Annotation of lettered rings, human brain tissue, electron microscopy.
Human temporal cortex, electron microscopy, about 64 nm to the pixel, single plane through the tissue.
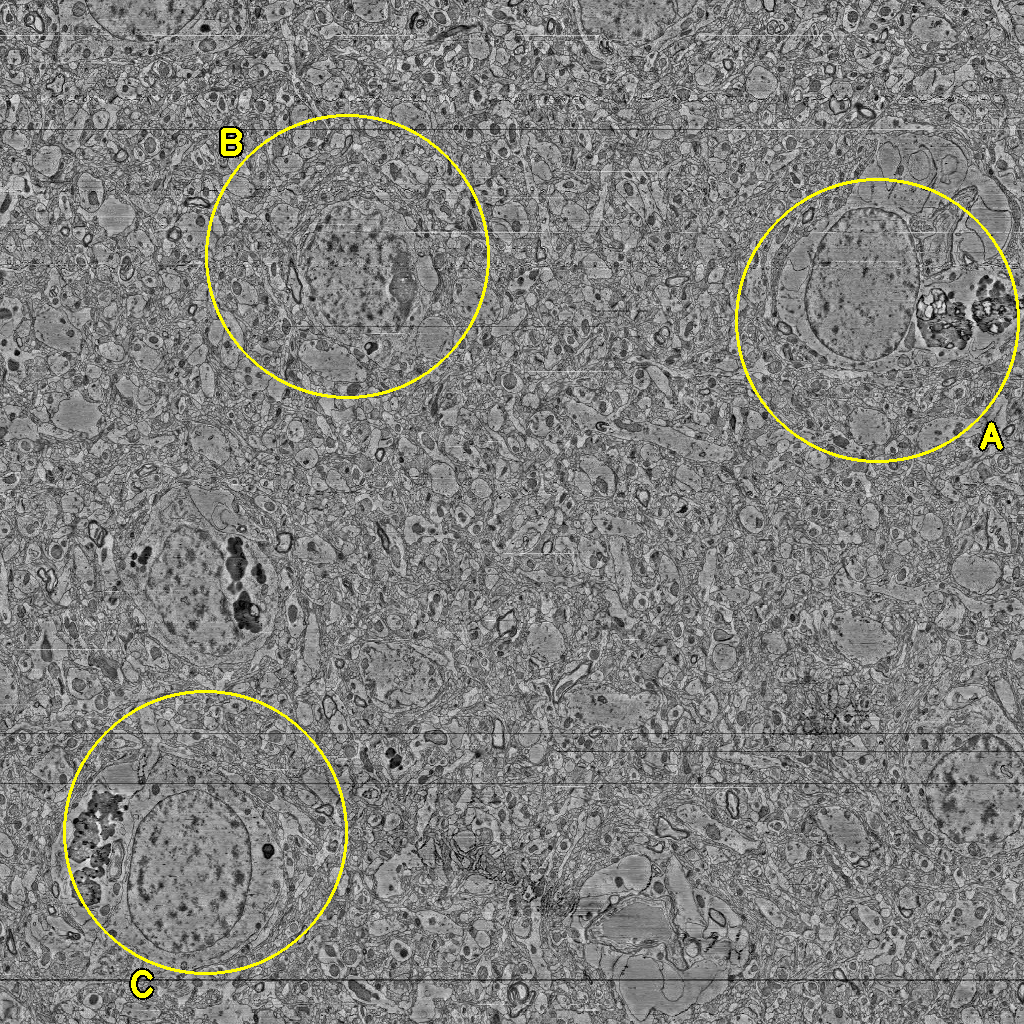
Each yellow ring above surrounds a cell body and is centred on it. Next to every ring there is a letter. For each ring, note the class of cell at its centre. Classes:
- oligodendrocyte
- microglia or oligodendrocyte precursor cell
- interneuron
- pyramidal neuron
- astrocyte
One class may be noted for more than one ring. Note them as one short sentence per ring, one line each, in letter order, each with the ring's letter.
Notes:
The class noted at ring A is an astrocyte.
The class noted at ring B is an interneuron.
The class noted at ring C is a pyramidal neuron.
